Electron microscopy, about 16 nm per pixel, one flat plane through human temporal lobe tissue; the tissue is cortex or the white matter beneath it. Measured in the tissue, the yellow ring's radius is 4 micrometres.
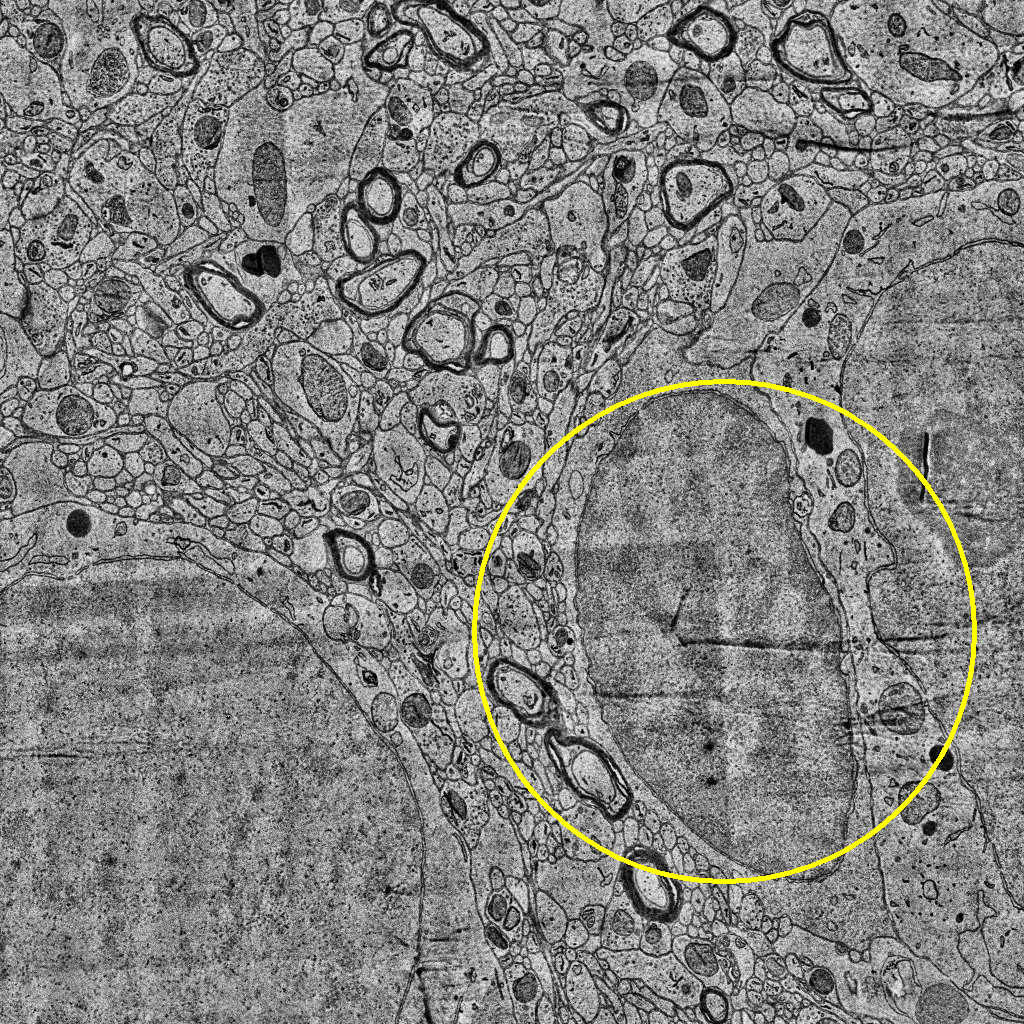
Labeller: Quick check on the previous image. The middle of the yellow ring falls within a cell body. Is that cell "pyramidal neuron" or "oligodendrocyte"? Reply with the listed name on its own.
oligodendrocyte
